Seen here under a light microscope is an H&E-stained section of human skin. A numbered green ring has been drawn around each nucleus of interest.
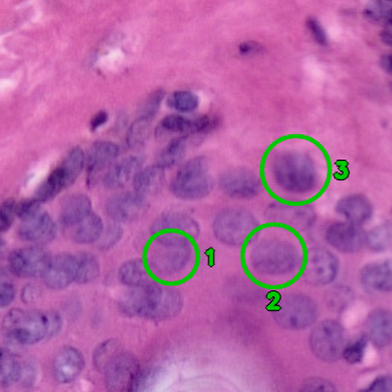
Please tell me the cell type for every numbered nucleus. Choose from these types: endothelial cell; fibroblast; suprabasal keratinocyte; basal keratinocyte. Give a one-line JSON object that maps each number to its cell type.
{"1": "suprabasal keratinocyte", "2": "suprabasal keratinocyte", "3": "basal keratinocyte"}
